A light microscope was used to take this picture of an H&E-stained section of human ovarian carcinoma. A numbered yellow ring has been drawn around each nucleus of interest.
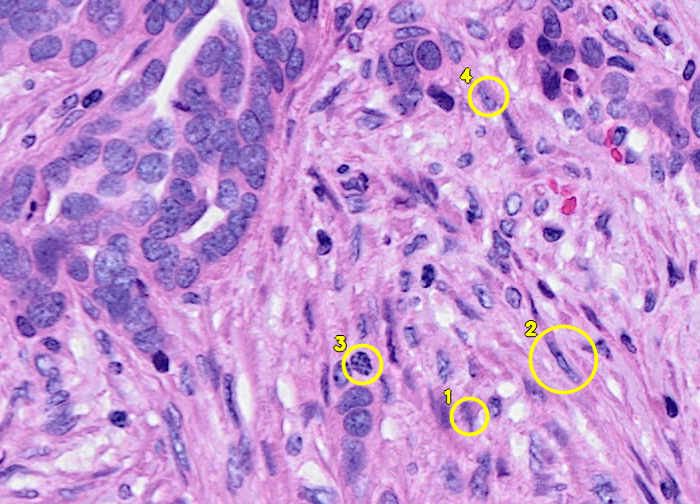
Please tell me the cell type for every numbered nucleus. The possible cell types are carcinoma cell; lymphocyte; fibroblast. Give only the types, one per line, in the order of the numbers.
fibroblast
fibroblast
lymphocyte
fibroblast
